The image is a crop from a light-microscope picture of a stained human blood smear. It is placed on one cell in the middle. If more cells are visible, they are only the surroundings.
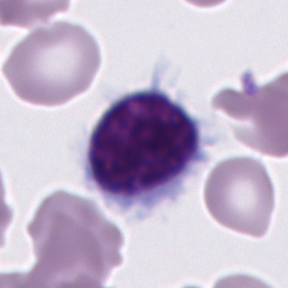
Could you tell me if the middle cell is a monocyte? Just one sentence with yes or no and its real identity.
No, wrong label: the middle cell is a hairy cell instead of a monocyte.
